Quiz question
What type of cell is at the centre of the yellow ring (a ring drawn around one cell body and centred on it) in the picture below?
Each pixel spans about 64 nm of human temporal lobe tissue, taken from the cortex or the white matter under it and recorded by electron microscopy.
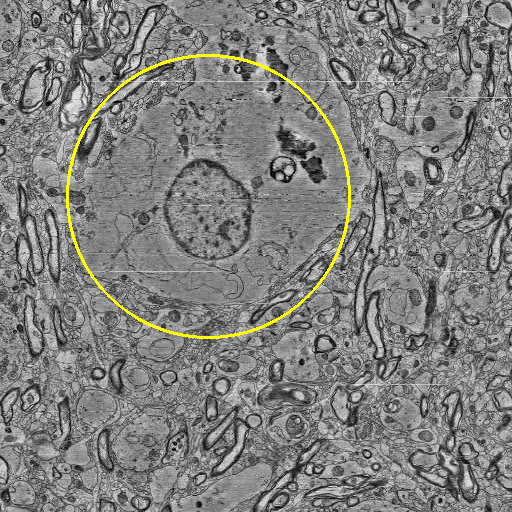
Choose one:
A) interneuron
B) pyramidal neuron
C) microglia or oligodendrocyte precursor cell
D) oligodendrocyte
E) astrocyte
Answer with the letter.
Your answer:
E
